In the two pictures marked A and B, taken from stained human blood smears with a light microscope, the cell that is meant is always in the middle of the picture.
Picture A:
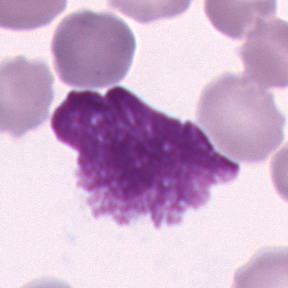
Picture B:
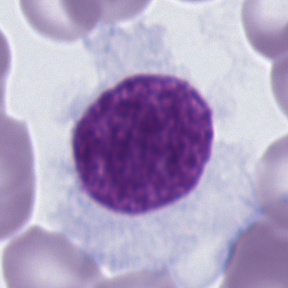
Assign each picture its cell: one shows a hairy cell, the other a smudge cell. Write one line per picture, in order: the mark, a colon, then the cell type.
A: smudge cell
B: hairy cell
